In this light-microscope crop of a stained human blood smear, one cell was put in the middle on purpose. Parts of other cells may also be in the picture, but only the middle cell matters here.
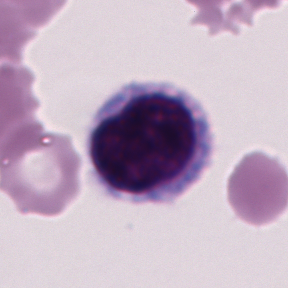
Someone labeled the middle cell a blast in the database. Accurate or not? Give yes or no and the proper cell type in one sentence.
No, the centre cell counts as a hairy cell, not as a blast.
